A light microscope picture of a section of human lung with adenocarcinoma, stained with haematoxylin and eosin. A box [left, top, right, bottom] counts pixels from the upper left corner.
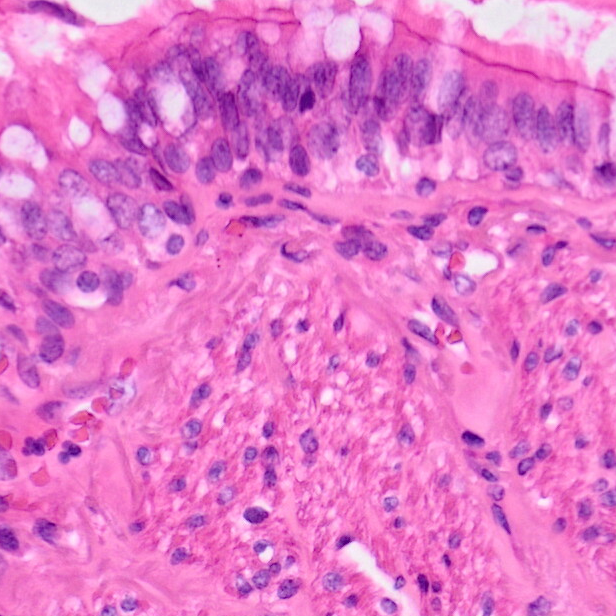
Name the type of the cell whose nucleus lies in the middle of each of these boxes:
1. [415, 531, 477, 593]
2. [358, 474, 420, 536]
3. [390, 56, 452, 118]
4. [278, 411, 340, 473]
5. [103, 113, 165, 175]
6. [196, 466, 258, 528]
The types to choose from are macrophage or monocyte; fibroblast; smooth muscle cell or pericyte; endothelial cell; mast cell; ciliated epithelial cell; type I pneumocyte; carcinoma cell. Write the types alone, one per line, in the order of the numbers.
smooth muscle cell or pericyte
smooth muscle cell or pericyte
ciliated epithelial cell
mast cell
ciliated epithelial cell
smooth muscle cell or pericyte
